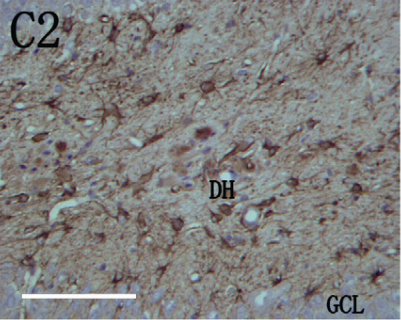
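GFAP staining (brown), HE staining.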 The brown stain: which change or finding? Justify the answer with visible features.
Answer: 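Hypertrophy. Brown-stained cells have enlarged, rounded cell bodies. Their processes are short and thick.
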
